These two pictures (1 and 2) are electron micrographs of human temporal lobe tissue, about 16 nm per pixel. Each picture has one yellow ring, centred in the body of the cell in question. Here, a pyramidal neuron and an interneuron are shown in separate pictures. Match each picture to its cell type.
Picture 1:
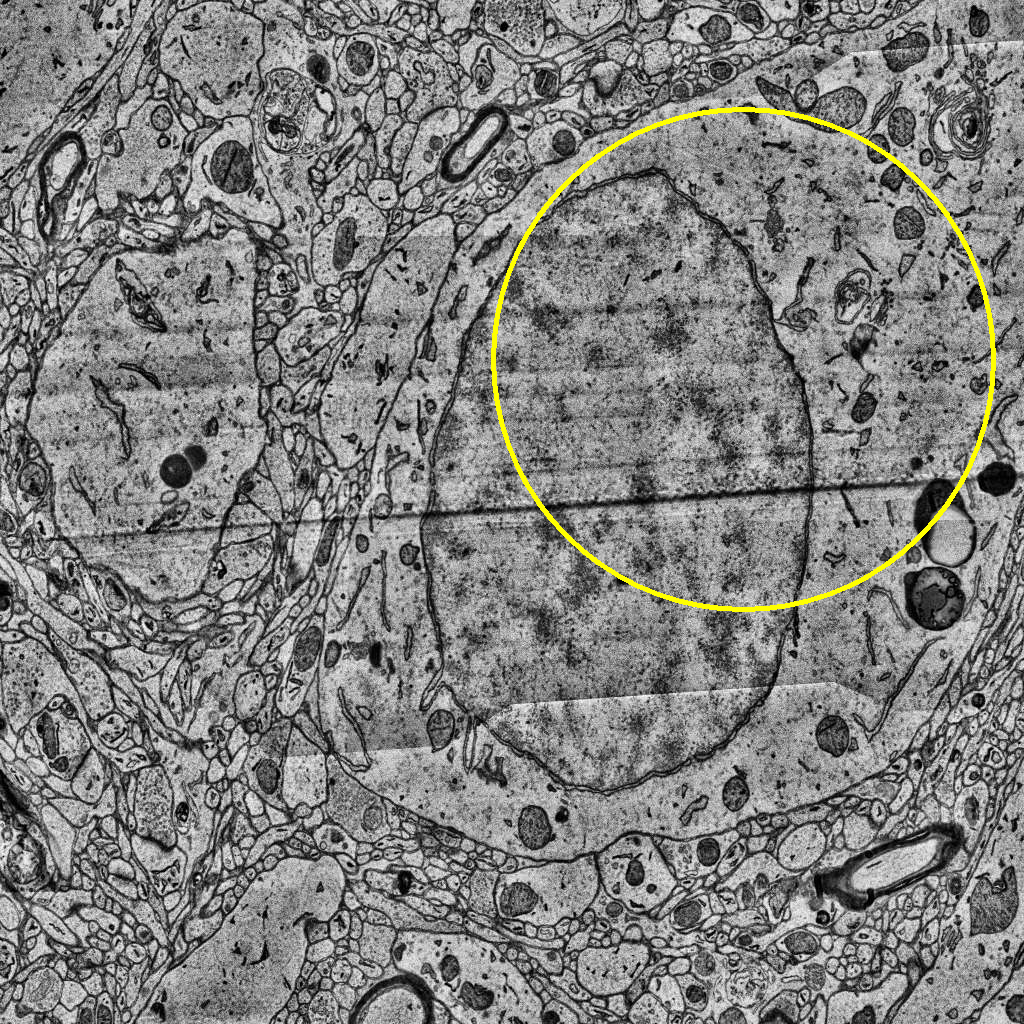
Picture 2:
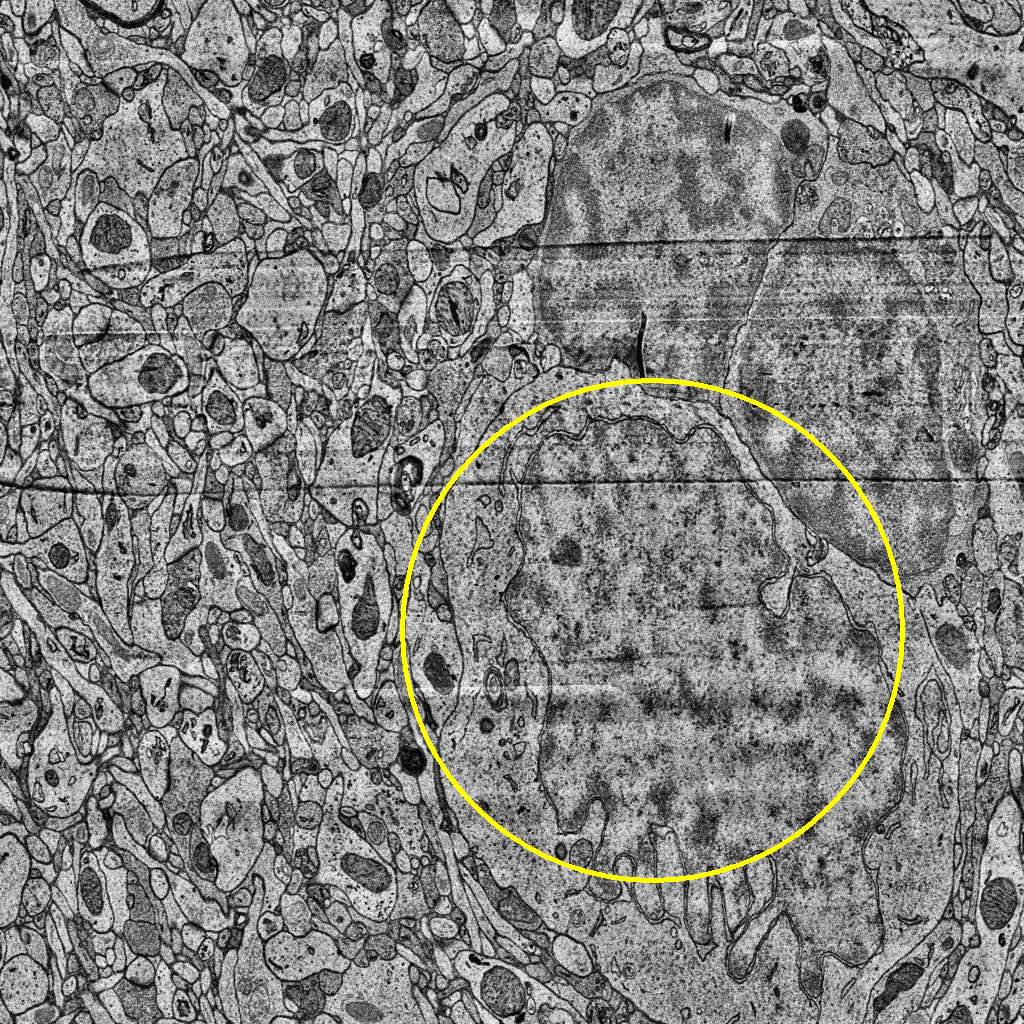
The cell in picture 1 is a pyramidal neuron, and the one in picture 2 is an interneuron.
